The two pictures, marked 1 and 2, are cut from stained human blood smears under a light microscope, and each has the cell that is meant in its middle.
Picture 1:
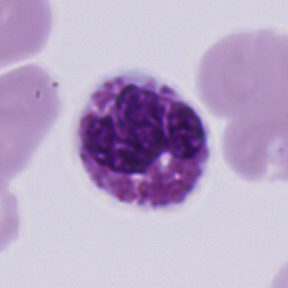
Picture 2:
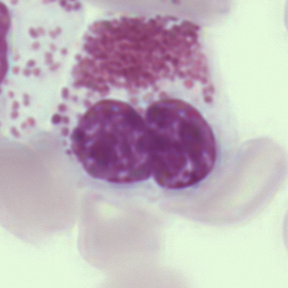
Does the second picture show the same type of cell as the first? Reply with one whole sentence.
Yes, both are eosinophils.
